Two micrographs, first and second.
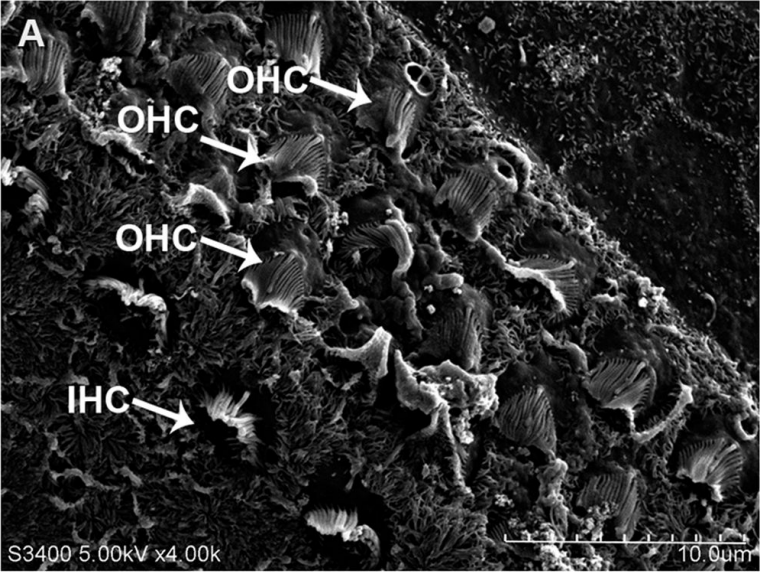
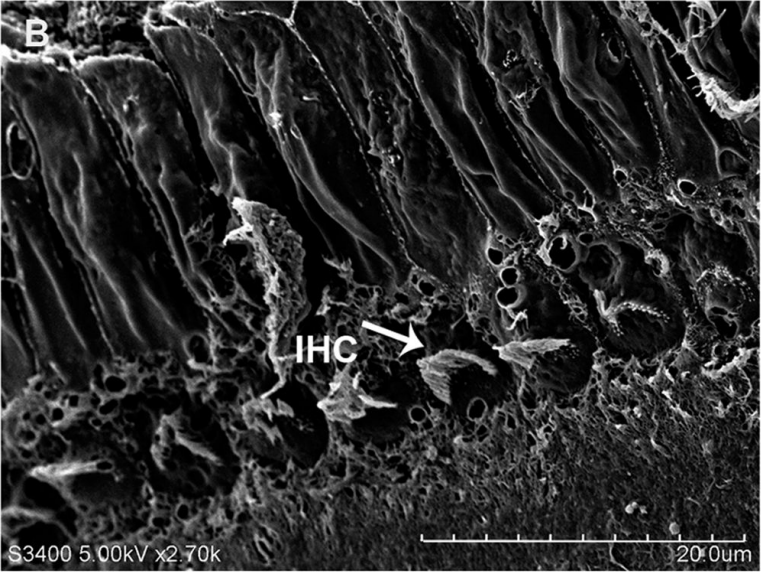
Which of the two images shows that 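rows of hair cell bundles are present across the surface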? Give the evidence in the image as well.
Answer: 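Second image: only a few hair bundles remain, along a single line, among holes and debris. First image: many V-shaped stereocilia bundles stand in several rows, with further bundles in a separate line. That points to this answer: the first image.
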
